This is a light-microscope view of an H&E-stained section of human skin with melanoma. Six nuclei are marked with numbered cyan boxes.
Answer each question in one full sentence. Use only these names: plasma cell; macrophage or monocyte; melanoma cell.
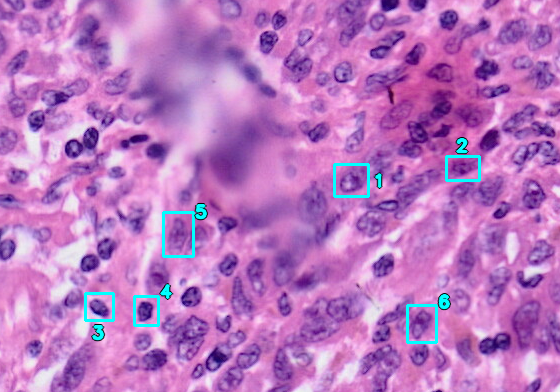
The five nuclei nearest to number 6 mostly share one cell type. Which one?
Macrophages or monocytes account for more than half of the five nuclei nearest to number 6.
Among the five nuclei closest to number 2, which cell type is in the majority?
Of the five nuclei nearest to number 2, most belong to melanoma cells.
